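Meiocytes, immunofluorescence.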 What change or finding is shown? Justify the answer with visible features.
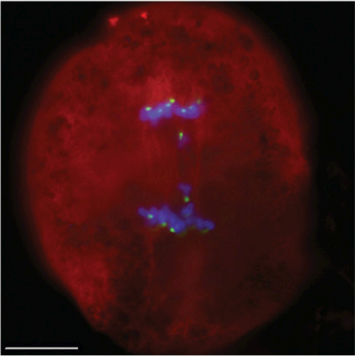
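Two blue chromosome groups lie apart at top and bottom. On this evidence: Lagging chromosomes.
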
